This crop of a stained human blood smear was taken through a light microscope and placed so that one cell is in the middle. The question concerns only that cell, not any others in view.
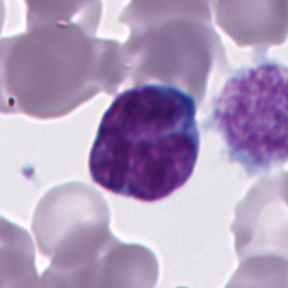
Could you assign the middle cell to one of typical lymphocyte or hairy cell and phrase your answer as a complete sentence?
As for the cell in the middle, it is a typical lymphocyte.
